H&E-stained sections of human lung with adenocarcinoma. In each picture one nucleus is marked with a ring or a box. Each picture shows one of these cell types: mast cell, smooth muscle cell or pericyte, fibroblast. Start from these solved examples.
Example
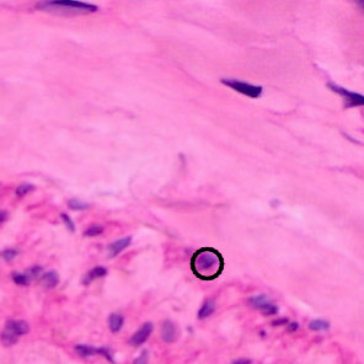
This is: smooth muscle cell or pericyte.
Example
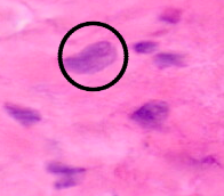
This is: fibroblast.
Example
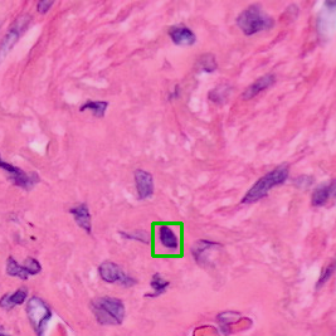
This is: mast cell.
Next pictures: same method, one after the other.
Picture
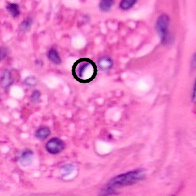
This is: smooth muscle cell or pericyte.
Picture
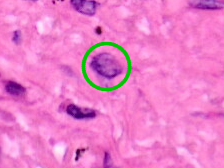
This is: fibroblast.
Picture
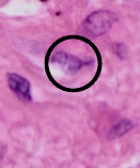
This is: fibroblast.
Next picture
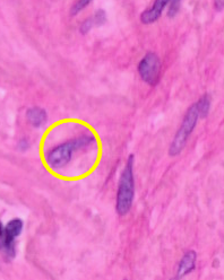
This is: smooth muscle cell or pericyte.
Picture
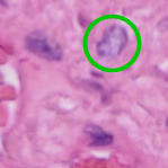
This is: fibroblast.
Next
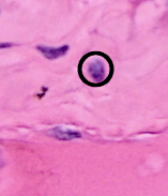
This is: mast cell.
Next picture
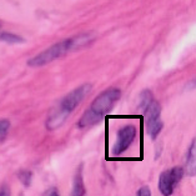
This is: mast cell.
